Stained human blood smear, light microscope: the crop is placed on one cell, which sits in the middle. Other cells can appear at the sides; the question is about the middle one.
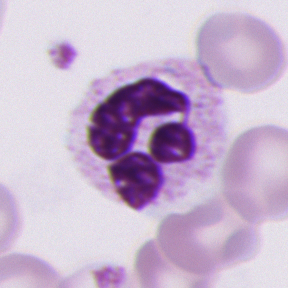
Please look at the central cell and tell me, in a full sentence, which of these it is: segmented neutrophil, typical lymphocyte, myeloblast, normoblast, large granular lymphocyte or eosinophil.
The cell of interest, located centrally, is a segmented neutrophil.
